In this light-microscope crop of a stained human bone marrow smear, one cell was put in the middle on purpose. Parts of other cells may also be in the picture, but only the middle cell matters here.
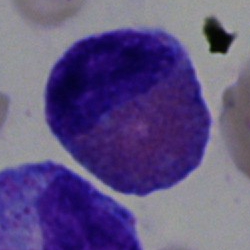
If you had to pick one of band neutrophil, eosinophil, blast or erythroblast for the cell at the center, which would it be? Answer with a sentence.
For this crop, the central cell is an eosinophil.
